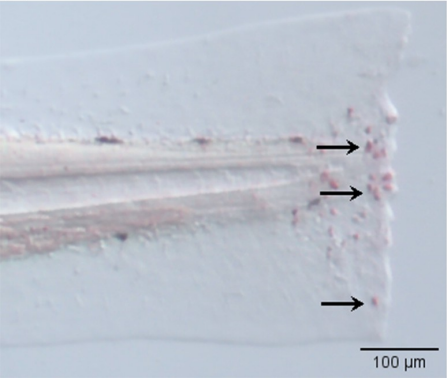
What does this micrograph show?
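The fin fold is a pale, nearly transparent sheet, and a striated central rod runs in from the left and ends a little before the straight cut edge on the right. A row of small dark pigment spots runs along the rod. The red cells are round and small, and most of them sit close to the wound edge, some in small groups just behind it, with a few more scattered in the clear tissue nearer the rod's tip.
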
